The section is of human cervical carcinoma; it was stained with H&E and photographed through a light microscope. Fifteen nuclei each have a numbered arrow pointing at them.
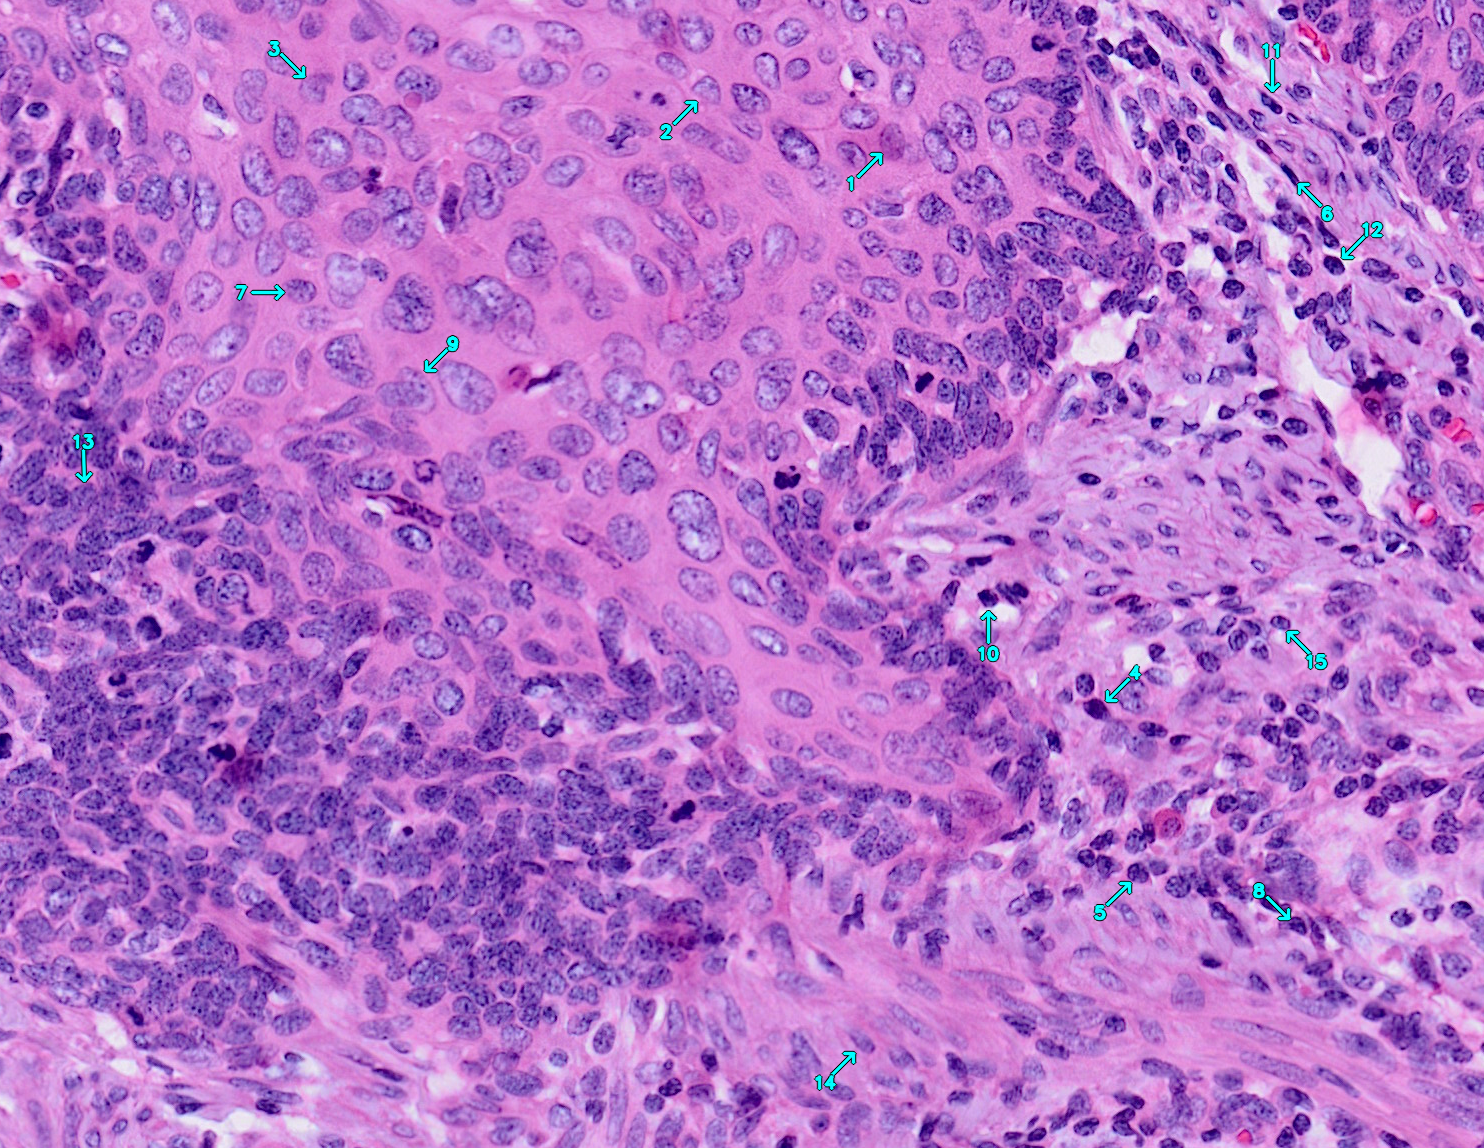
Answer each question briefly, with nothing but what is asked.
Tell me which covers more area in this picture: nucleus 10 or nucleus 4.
4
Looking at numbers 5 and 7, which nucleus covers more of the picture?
7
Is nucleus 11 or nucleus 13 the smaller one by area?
11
